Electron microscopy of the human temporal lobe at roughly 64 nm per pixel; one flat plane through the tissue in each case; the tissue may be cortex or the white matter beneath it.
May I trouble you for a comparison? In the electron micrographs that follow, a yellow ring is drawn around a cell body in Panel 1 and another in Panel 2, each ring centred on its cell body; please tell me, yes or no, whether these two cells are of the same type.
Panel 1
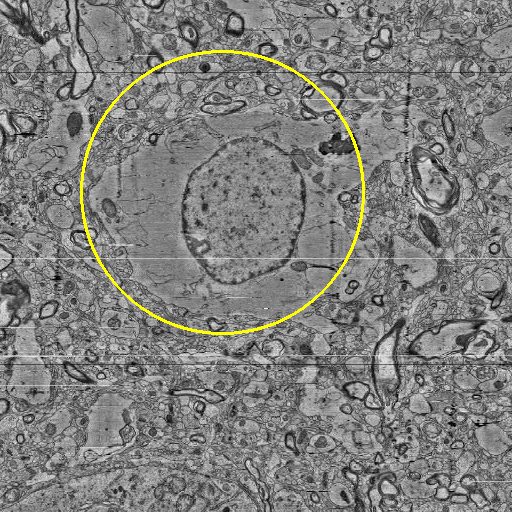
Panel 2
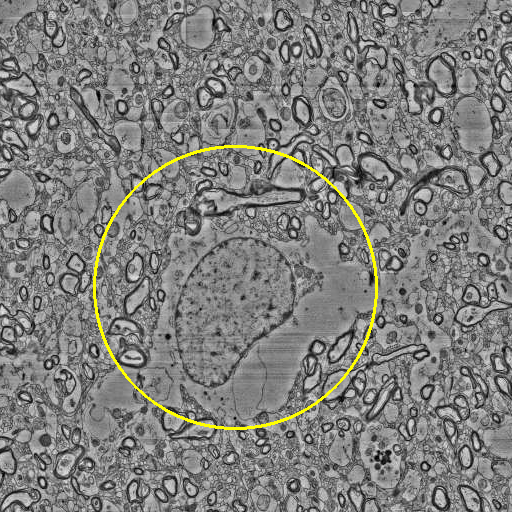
yes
